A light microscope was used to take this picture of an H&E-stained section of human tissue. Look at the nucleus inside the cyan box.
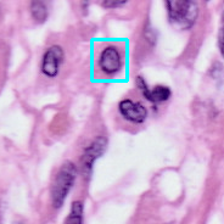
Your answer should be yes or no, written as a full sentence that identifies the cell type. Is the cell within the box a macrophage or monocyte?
Yes, the classification of the cell within the box as a macrophage or monocyte is accurate.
